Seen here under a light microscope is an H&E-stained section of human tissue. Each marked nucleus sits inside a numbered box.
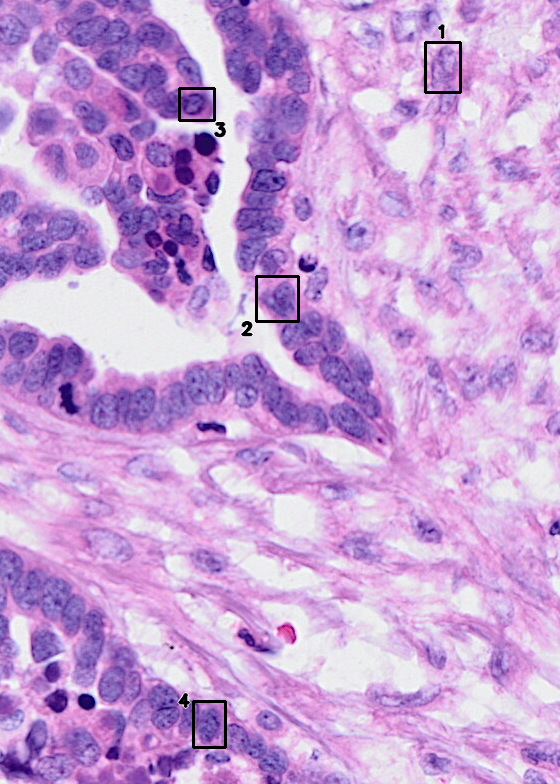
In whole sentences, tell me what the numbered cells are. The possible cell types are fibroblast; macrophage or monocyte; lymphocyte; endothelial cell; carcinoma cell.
Cell 1 is a fibroblast, cell 2 is a carcinoma cell, cell 3 is a carcinoma cell and cell 4 is a carcinoma cell.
